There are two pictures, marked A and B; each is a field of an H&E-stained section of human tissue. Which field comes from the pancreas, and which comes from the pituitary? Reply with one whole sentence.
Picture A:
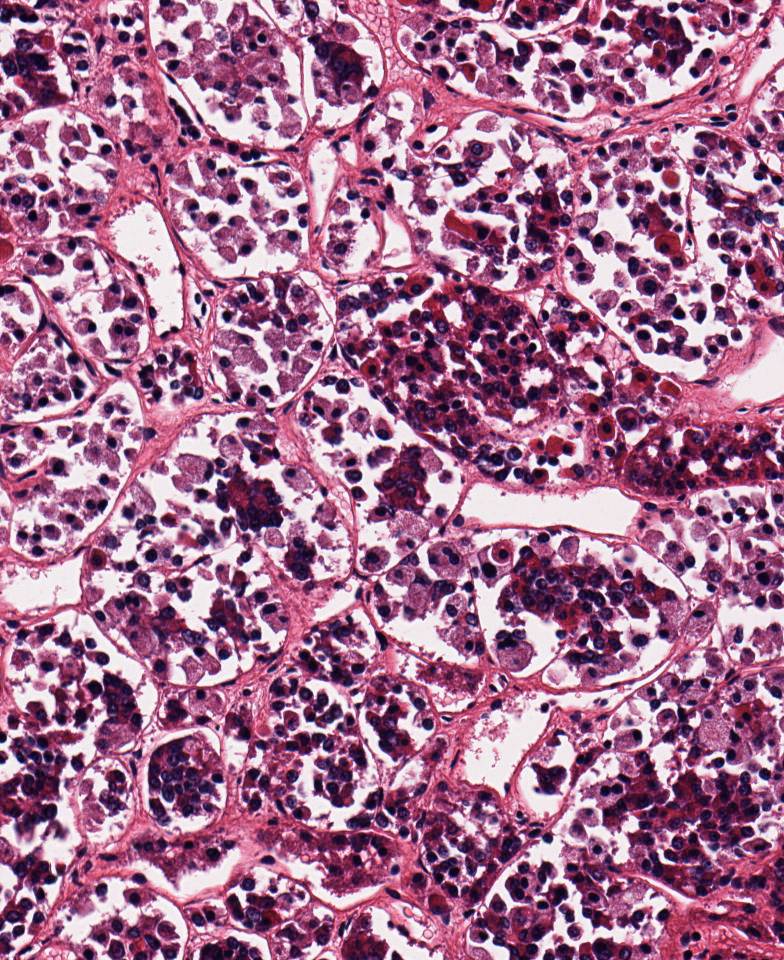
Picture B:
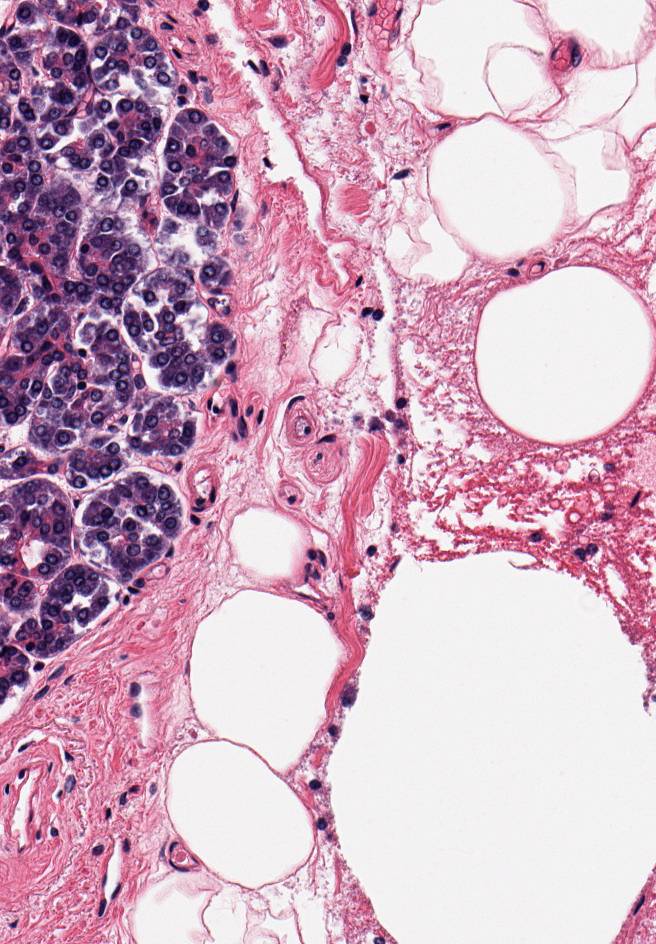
It is picture A that comes from the pituitary, and picture B that comes from the pancreas.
